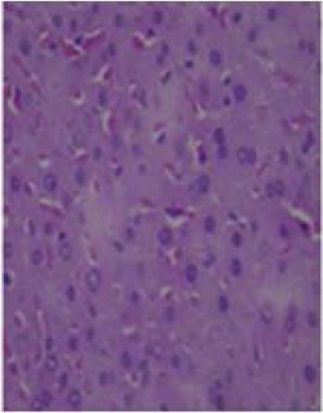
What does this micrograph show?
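Liver parenchyma made of hepatocytes lying in rows. The cells are large and polygonal, with finely granular pale pink-lilac cytoplasm and a single round, centrally placed purple nucleus; a few cells appear to hold two nuclei. Cell borders are faint. Narrow clear slit-like spaces, the sinusoids, run between the rows, some containing small dark elongated nuclei along their edges. The arrangement is even across the field with no obvious clusters of inflammatory cells or areas of lost cells.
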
